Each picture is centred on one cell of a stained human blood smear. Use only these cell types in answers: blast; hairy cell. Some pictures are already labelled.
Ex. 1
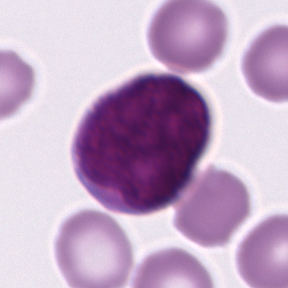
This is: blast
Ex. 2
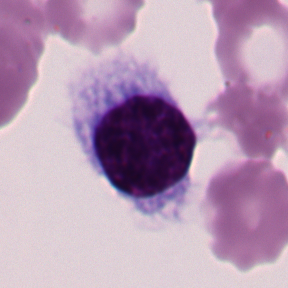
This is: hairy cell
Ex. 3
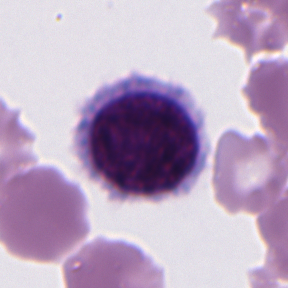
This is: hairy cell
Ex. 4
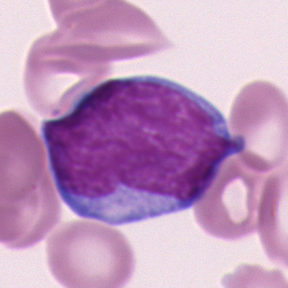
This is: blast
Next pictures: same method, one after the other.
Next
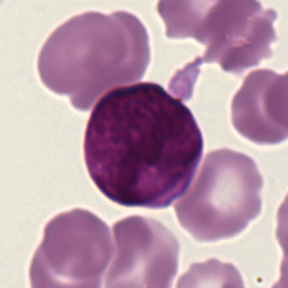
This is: blast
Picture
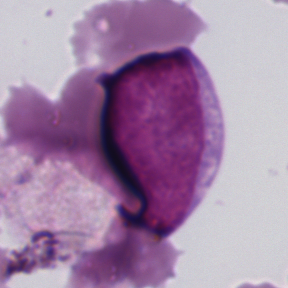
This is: blast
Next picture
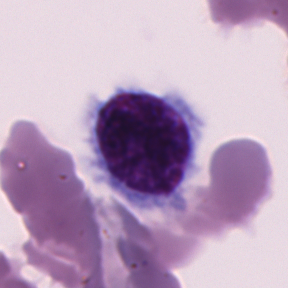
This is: hairy cell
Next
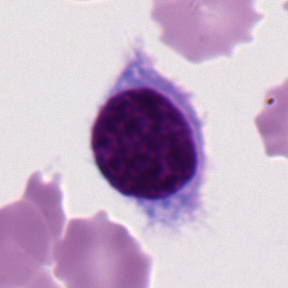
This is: hairy cell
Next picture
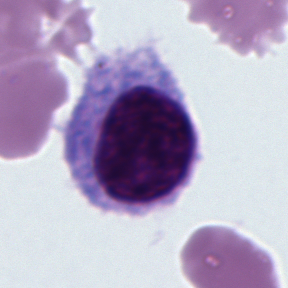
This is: hairy cell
